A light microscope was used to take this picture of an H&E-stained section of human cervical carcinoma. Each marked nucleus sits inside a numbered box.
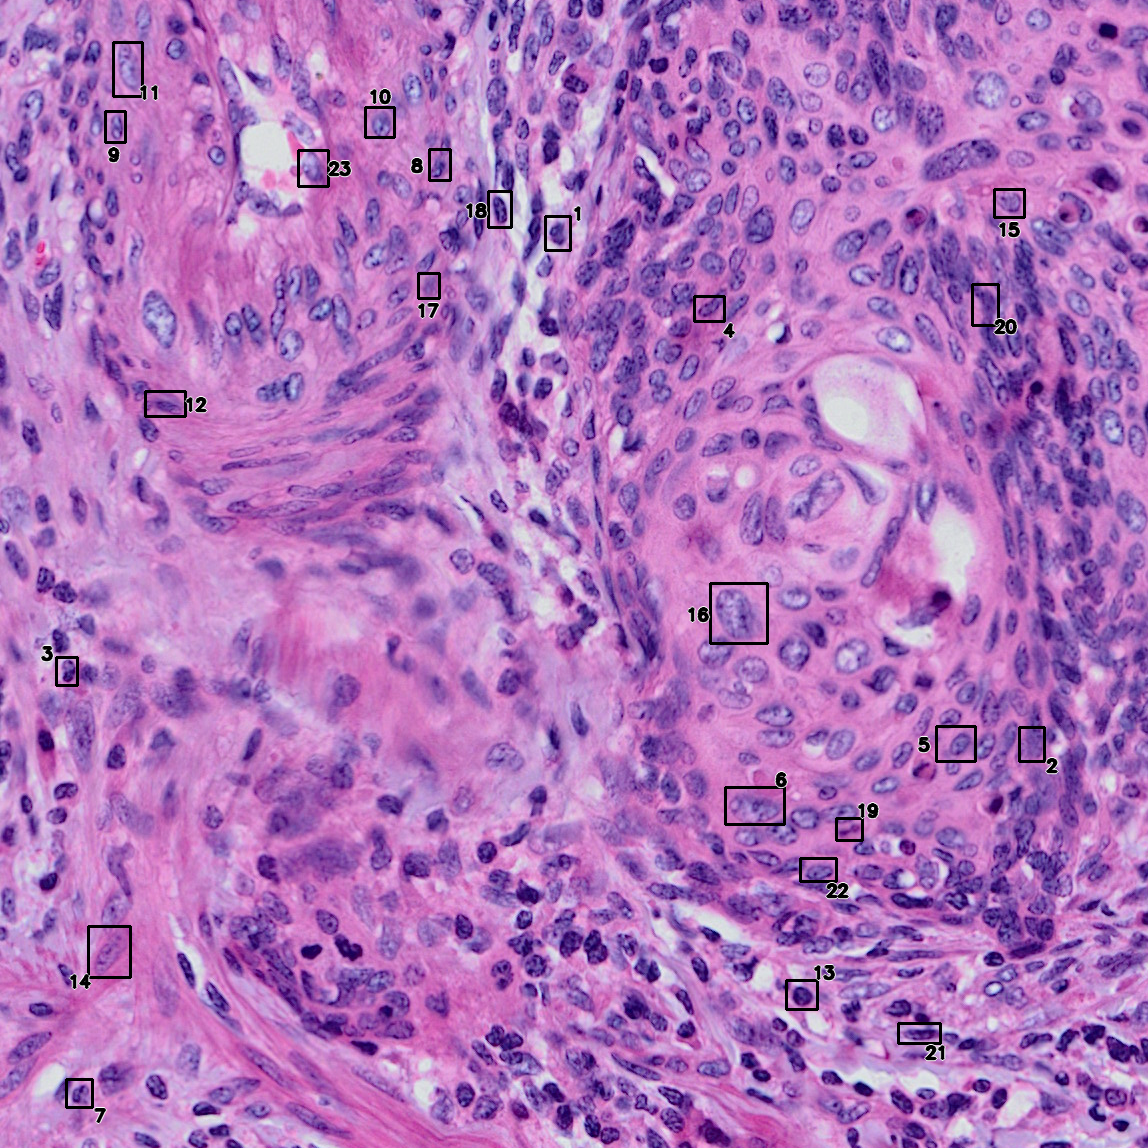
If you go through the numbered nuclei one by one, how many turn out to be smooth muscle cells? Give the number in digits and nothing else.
7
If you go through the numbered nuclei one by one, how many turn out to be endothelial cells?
1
